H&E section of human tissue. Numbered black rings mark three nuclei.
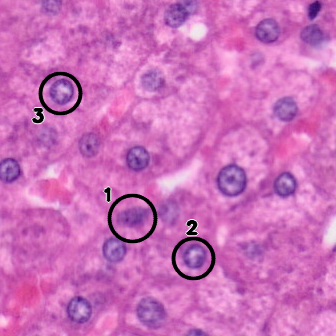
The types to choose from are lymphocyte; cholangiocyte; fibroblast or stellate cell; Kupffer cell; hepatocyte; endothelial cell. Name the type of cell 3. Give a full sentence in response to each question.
Marked with the number 3, this cell is a hepatocyte.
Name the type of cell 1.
Nucleus 1 in this section belongs to an endothelial cell.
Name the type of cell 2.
Here, the cell given the number 2 is a hepatocyte.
